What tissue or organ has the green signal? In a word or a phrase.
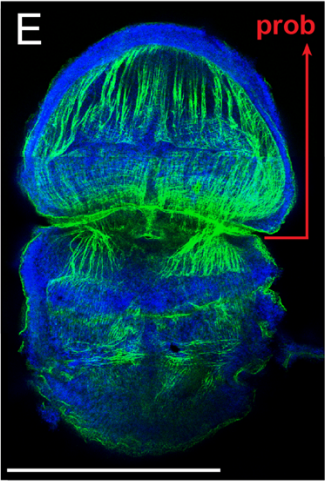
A: muscle fibers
